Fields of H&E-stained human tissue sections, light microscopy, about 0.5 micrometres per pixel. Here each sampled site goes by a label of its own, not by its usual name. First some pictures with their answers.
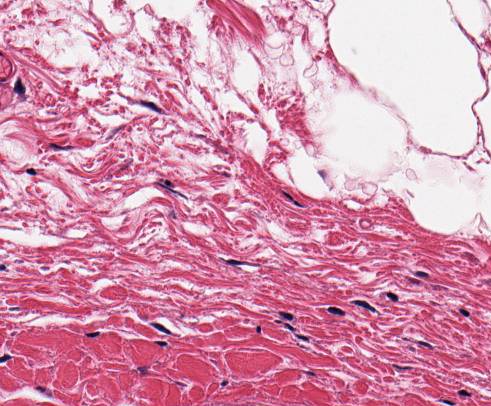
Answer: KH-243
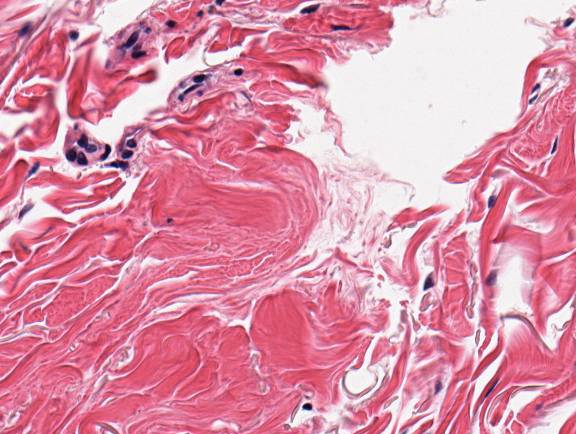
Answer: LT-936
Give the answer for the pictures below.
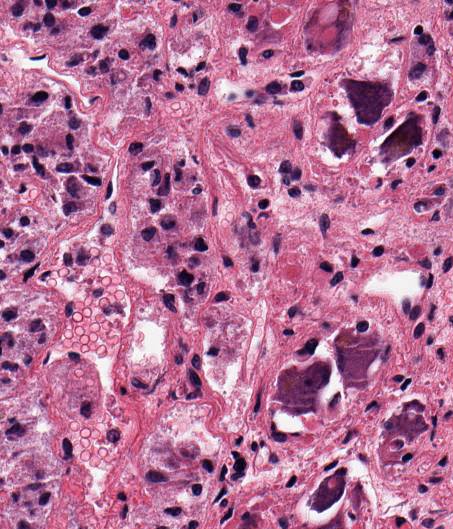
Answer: KH-243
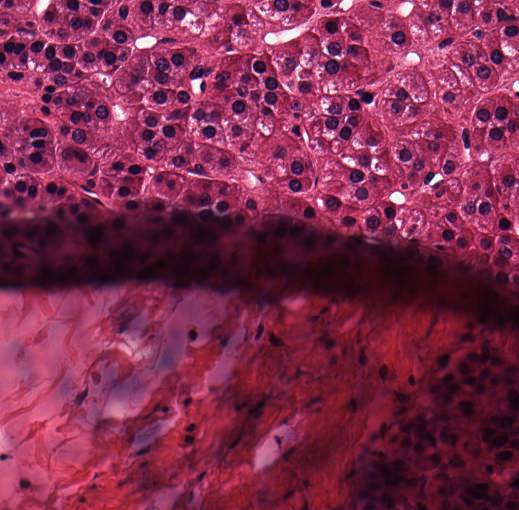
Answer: KH-243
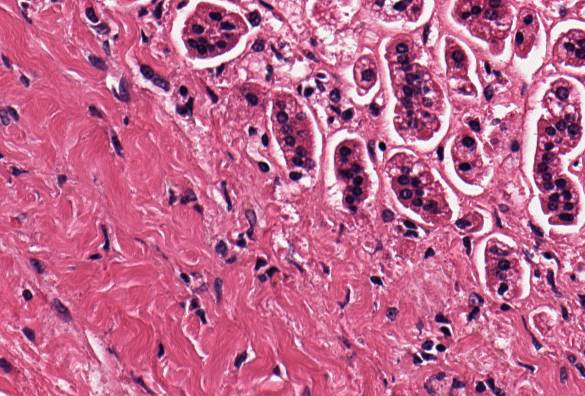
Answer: KH-243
